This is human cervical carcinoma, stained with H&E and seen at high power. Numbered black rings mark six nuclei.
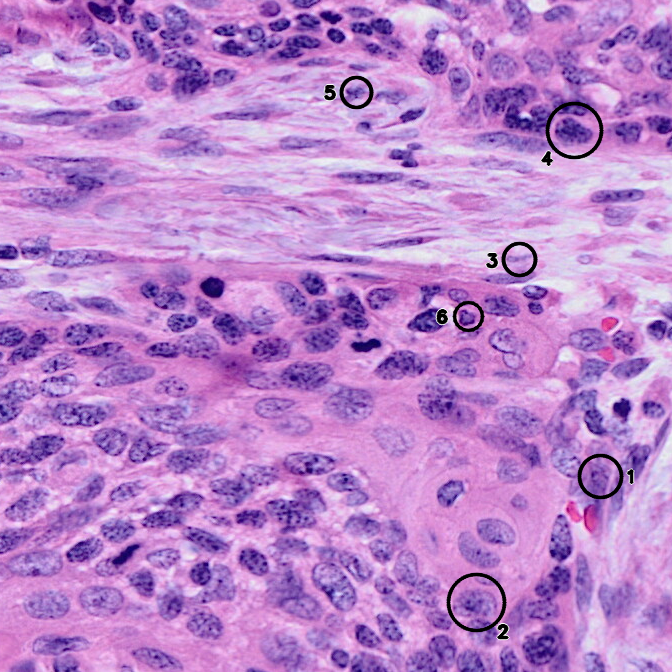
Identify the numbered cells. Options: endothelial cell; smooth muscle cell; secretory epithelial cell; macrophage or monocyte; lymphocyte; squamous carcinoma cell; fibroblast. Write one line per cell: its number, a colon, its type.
1: endothelial cell
2: squamous carcinoma cell
3: fibroblast
4: squamous carcinoma cell
5: fibroblast
6: squamous carcinoma cell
